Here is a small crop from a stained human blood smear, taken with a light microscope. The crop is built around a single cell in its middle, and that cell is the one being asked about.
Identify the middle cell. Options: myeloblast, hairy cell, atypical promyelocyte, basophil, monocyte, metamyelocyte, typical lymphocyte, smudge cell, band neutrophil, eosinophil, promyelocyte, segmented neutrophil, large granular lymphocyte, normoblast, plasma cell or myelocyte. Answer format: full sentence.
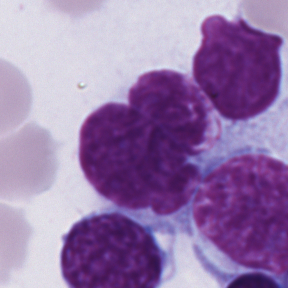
In short, the cell at the center is a myeloblast.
